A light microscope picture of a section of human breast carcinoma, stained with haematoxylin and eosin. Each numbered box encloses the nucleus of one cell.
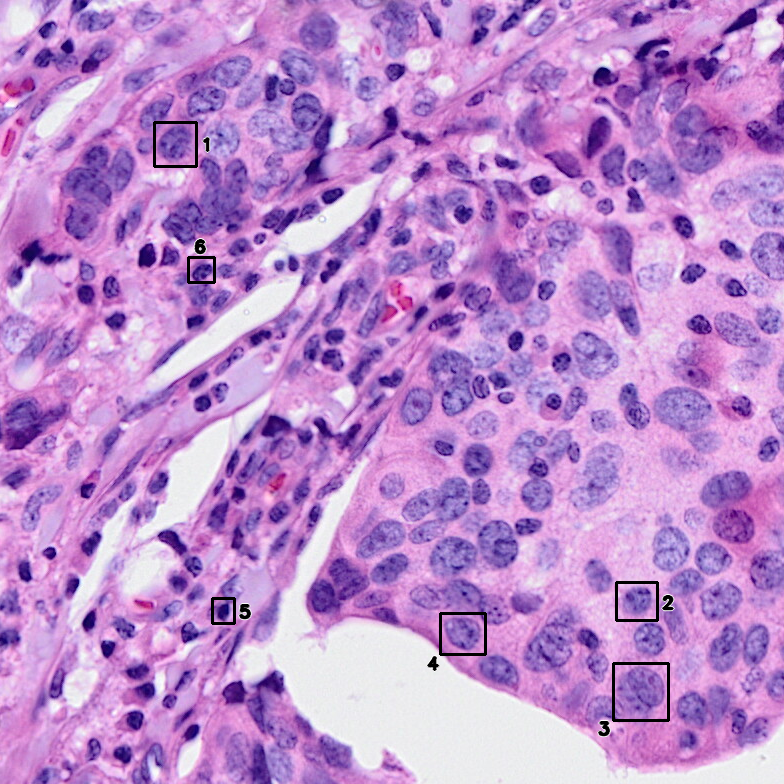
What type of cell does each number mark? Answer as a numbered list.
1. carcinoma cell
2. carcinoma cell
3. carcinoma cell
4. carcinoma cell
5. lymphocyte
6. lymphocyte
